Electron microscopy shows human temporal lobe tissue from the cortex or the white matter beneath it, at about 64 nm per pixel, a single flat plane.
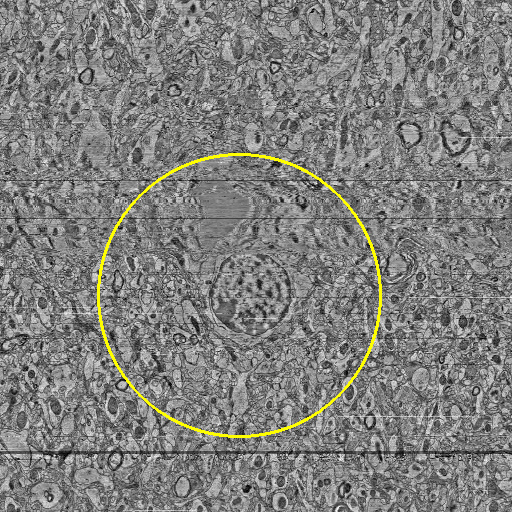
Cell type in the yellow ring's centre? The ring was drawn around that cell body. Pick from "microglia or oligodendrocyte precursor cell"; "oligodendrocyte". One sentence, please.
The ringed cell body is that of a microglial cell or oligodendrocyte precursor cell.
